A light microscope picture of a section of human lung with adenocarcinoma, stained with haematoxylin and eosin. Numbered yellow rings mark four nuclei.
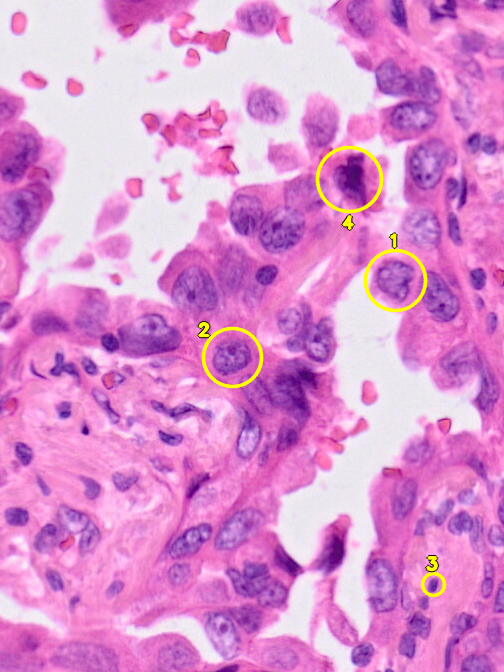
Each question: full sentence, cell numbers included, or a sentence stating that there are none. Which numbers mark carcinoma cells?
The cells numbered 1, 2 and 4 are typed as carcinoma cells.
